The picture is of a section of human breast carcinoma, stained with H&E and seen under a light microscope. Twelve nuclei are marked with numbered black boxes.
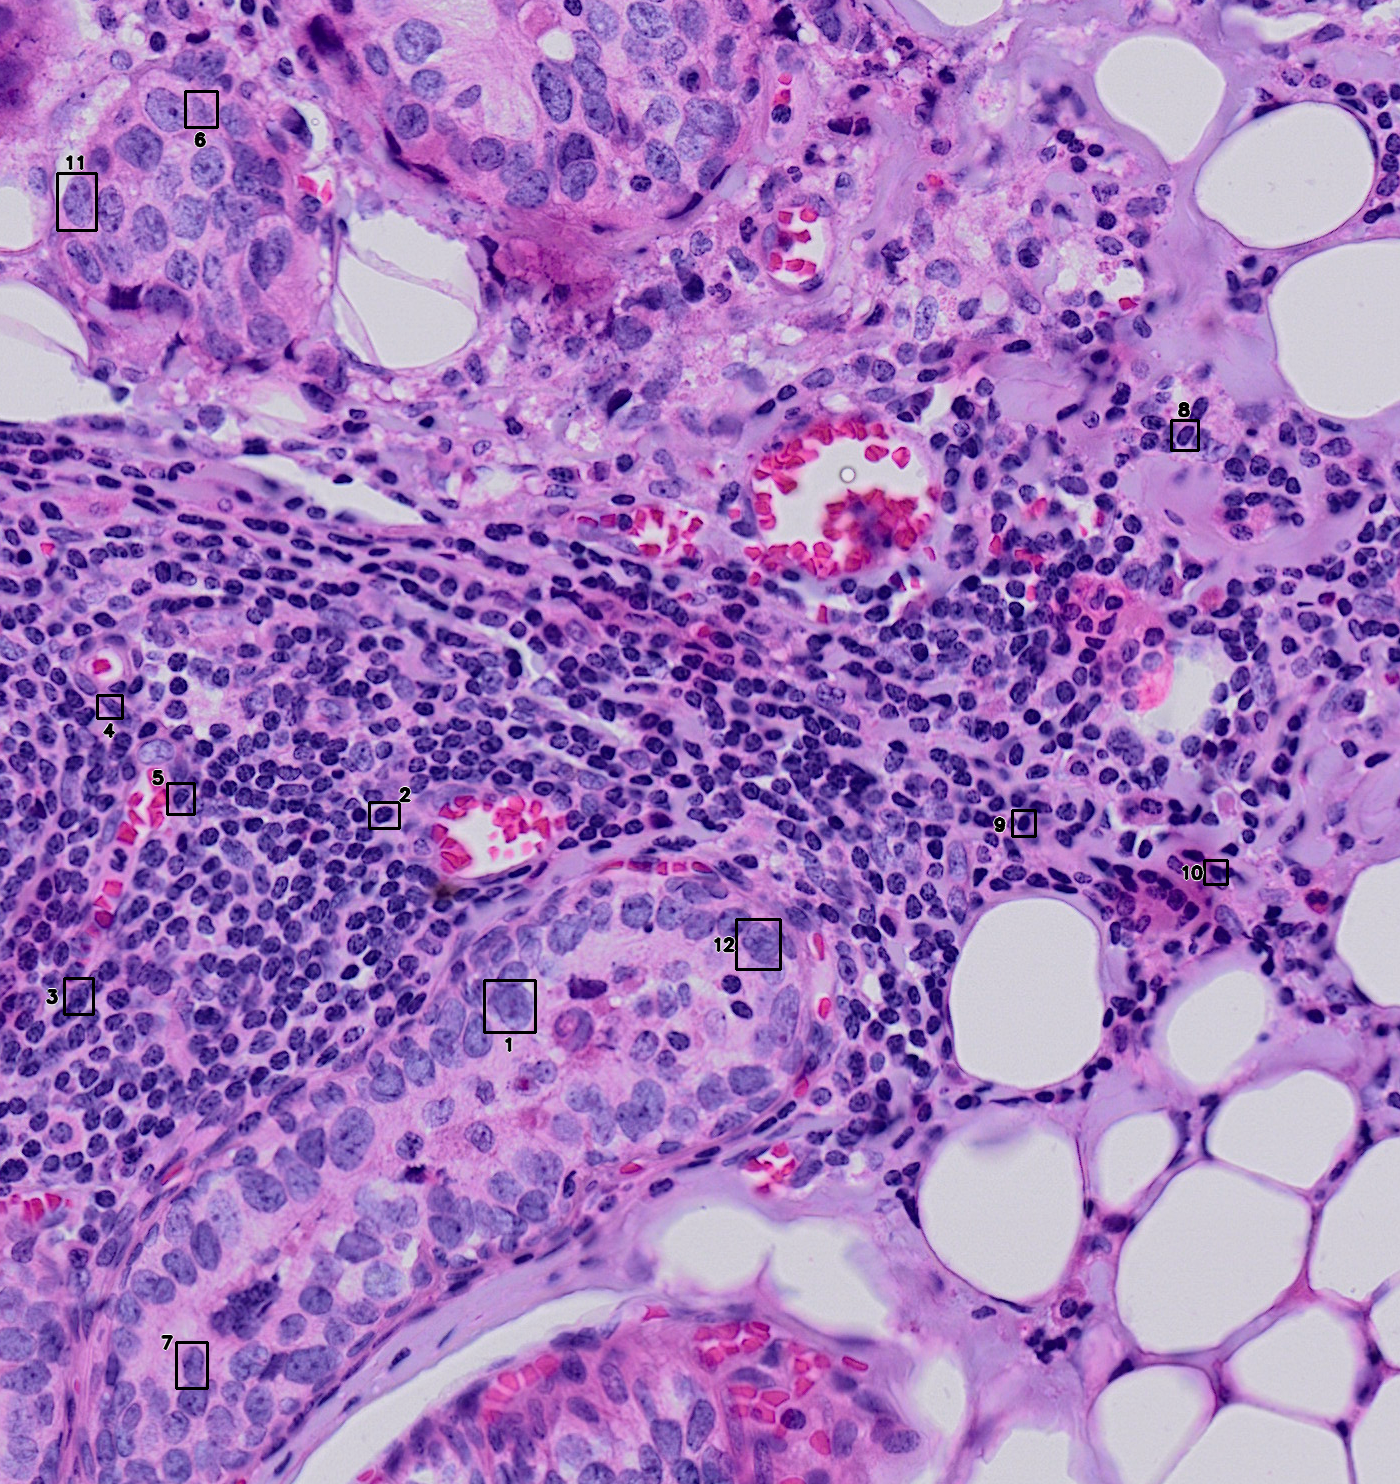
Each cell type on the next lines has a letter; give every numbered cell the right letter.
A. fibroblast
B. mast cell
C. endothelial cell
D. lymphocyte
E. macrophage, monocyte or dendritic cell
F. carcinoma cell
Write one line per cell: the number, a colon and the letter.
1: F
2: D
3: D
4: D
5: D
6: F
7: F
8: D
9: D
10: D
11: F
12: F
